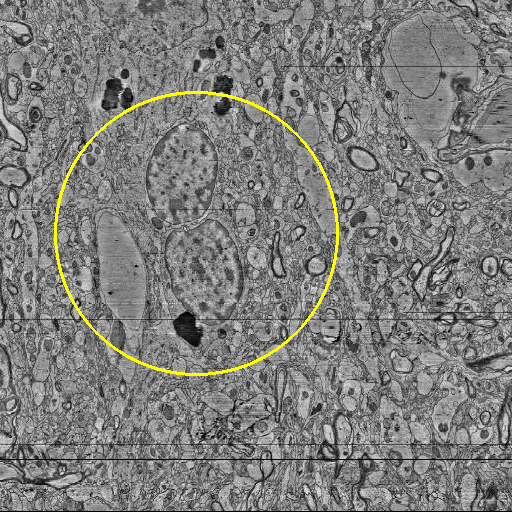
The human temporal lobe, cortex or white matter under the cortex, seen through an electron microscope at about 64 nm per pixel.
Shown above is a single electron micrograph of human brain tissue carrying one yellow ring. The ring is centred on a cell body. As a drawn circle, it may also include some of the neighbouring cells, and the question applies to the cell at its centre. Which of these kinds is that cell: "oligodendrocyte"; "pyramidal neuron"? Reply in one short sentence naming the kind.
The cell marked by the ring is an oligodendrocyte.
